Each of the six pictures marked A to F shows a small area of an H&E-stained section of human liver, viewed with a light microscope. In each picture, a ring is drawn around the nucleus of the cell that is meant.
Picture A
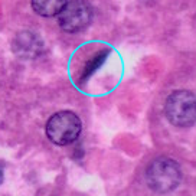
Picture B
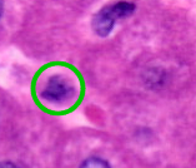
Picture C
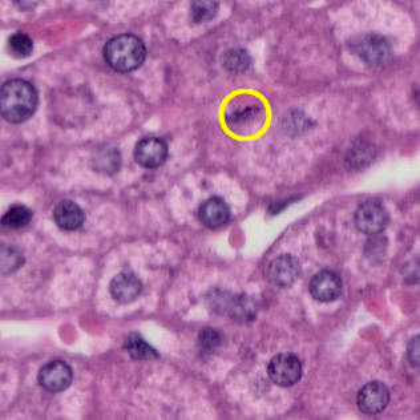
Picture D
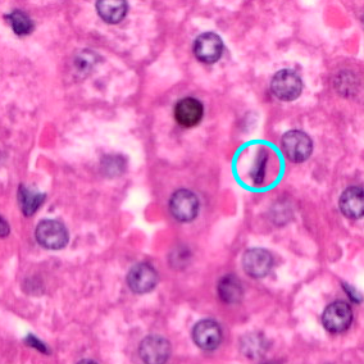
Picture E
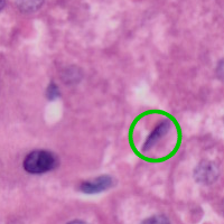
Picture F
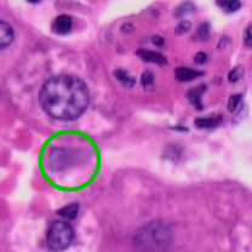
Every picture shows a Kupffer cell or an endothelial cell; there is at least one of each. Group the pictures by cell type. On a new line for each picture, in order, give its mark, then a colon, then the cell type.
A: endothelial cell
B: Kupffer cell
C: endothelial cell
D: endothelial cell
E: endothelial cell
F: Kupffer cell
